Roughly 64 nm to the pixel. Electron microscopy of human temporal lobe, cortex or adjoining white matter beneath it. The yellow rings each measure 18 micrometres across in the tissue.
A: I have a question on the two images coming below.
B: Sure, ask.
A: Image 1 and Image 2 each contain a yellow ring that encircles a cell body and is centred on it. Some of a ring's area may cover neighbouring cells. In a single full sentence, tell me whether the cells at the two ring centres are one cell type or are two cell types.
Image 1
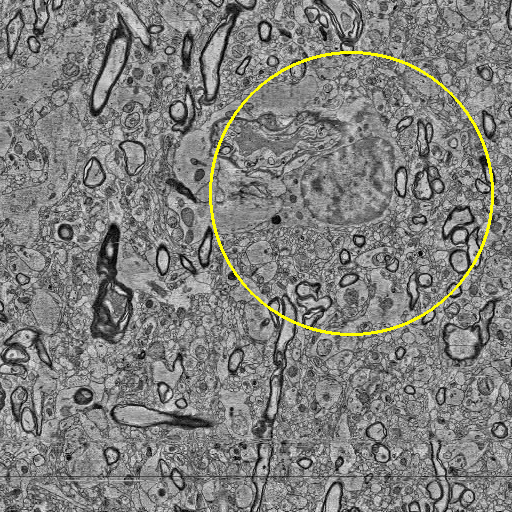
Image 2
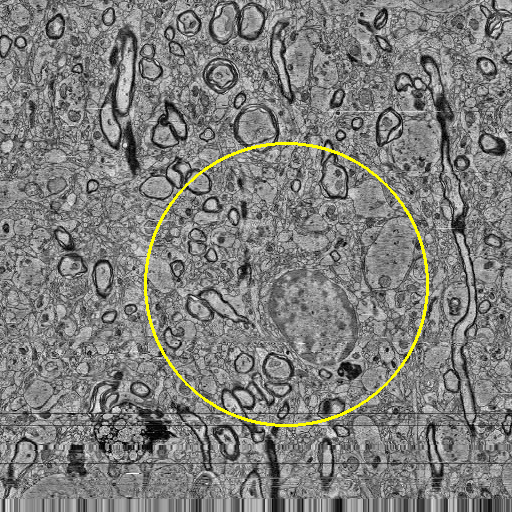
As for the ring-centre cells, the one in Image 1 and the one in Image 2 are two cell types.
